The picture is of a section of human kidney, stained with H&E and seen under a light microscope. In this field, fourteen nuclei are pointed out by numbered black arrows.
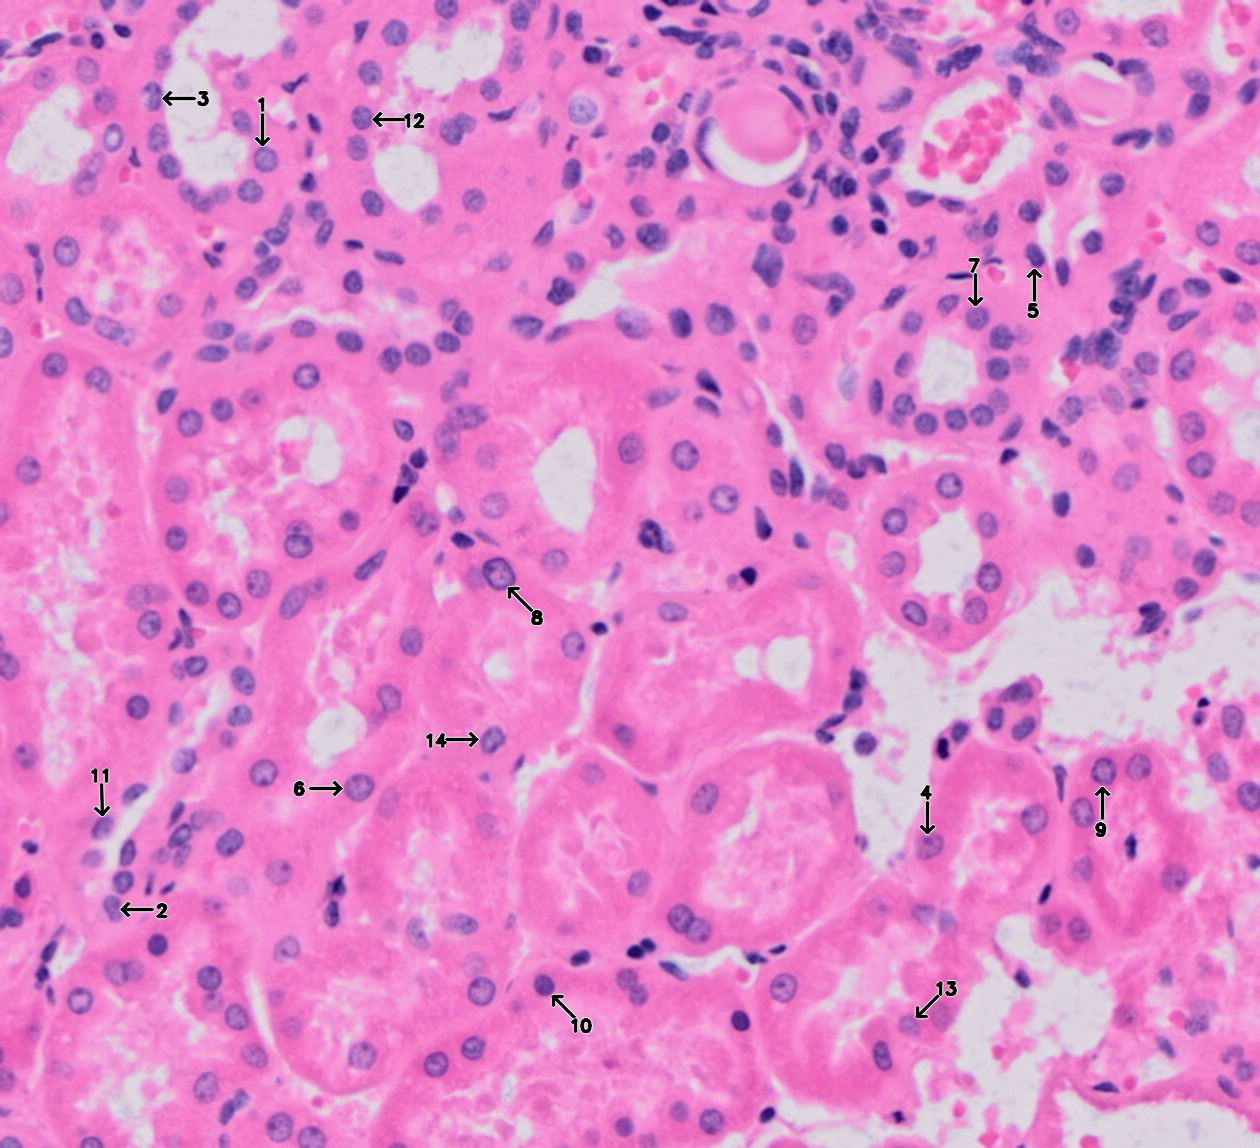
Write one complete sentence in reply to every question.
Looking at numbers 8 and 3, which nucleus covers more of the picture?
Nucleus 8 covers more area, about 1.5 times as much as nucleus 3.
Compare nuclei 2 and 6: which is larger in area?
Nucleus 6 covers more area, about 1.5 times as much as nucleus 2.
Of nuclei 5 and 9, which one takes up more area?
Of the two, number 9 is bigger and takes up about 1.5 times the area of number 5.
